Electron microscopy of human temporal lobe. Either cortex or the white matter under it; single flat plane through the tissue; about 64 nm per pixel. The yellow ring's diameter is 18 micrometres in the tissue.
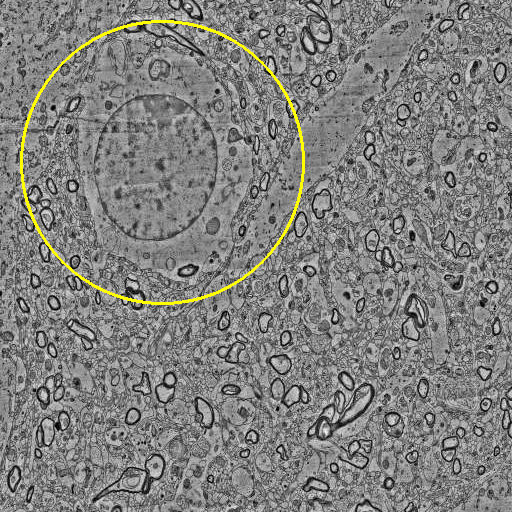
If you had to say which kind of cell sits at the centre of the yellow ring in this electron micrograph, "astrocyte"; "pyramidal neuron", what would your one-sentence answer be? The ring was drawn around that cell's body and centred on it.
The cell sitting at the centre of the ring is an astrocyte.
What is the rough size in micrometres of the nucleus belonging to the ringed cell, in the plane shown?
About 9 by 8 micrometres in this plane.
